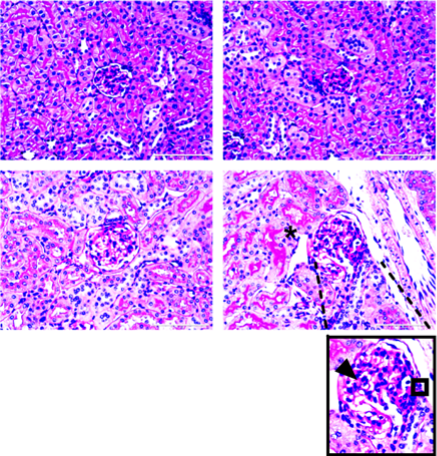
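These are sections of kidney cortex showing glomeruli among proximal and distal tubules, stained pink-magenta with blue-purple nuclei. In the upper images the tubules are regular, with intact epithelial linings and open lumens, and the glomeruli are small and compact. In the lower images the glomeruli are enlarged and crowded with nuclei. The tubules around them are disordered, and some are shrunken with pale pink material lying between them.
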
